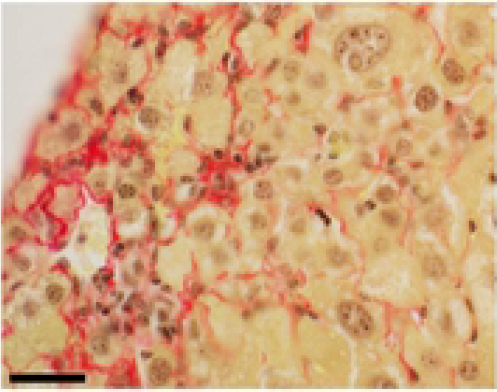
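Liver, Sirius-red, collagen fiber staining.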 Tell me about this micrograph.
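Along the left margin the red fibres are dense and thick, and from there they branch inward as fine and coarse strands that run between the hepatocytes, wrapping around single cells and small groups in a net-like pattern. Some hepatocytes are enlarged with pale cytoplasm.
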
